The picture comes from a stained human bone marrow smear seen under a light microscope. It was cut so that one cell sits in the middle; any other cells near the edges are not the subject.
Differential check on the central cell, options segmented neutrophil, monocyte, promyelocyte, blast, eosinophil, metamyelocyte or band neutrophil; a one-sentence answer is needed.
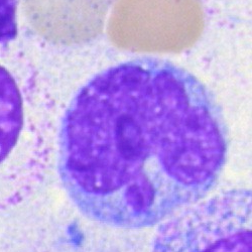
At the middle of the frame sits a monocyte.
